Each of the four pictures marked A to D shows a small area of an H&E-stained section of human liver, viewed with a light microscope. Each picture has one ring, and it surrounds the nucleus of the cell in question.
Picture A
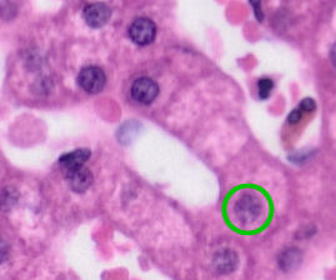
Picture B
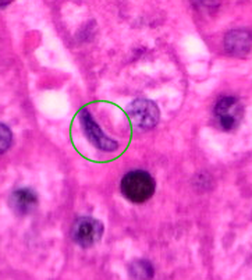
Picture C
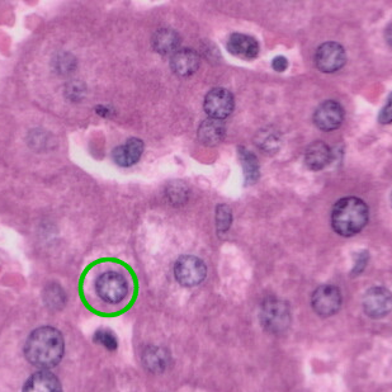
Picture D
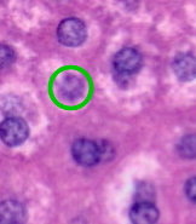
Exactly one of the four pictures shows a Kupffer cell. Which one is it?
B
